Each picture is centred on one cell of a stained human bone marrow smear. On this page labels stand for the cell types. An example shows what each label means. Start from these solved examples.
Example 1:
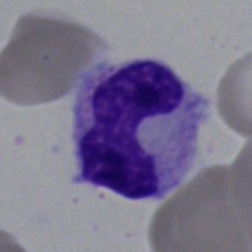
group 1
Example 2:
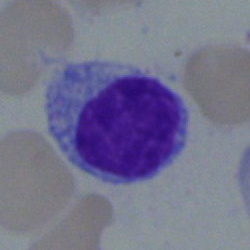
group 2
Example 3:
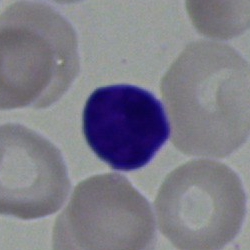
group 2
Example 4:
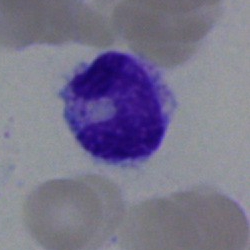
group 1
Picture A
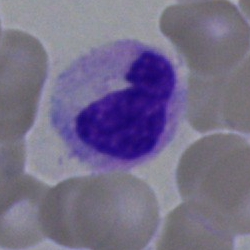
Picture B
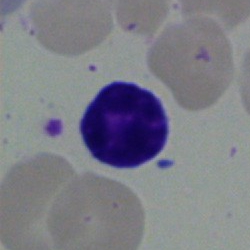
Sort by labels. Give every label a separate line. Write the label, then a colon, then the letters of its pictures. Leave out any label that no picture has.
group 1: A
group 2: B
